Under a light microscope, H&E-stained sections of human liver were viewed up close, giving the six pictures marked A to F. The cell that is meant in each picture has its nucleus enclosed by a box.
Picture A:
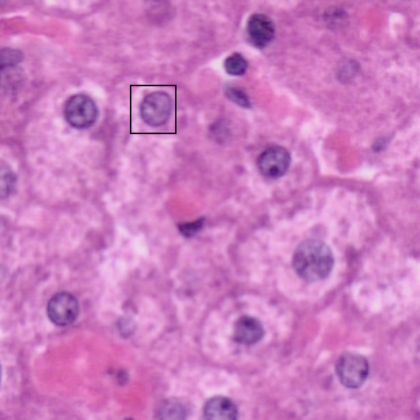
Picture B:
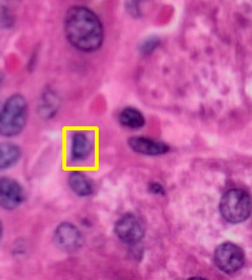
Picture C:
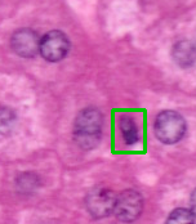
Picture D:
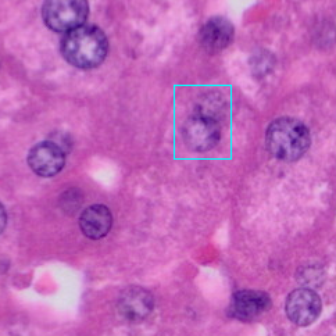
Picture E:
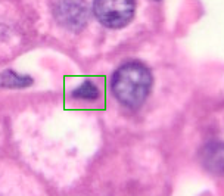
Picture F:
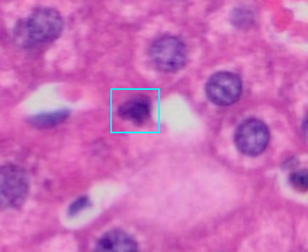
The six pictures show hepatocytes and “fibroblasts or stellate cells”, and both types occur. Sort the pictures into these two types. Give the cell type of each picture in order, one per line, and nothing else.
hepatocyte
fibroblast or stellate cell
fibroblast or stellate cell
hepatocyte
fibroblast or stellate cell
fibroblast or stellate cell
